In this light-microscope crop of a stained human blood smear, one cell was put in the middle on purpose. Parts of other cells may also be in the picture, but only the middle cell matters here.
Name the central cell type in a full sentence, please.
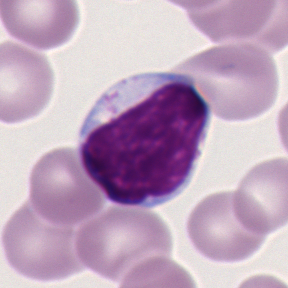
In the middle of this smear crop is a large granular lymphocyte.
